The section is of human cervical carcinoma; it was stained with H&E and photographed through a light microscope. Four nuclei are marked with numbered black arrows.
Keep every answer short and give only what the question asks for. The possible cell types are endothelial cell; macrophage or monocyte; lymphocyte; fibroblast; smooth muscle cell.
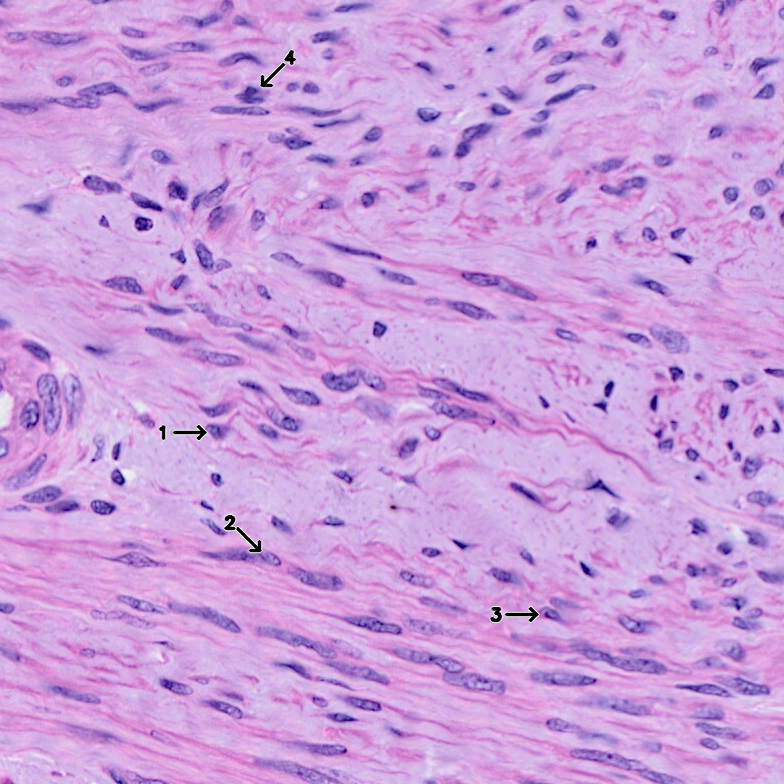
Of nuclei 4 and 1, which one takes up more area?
4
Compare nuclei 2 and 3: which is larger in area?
2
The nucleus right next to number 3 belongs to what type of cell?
smooth muscle cell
